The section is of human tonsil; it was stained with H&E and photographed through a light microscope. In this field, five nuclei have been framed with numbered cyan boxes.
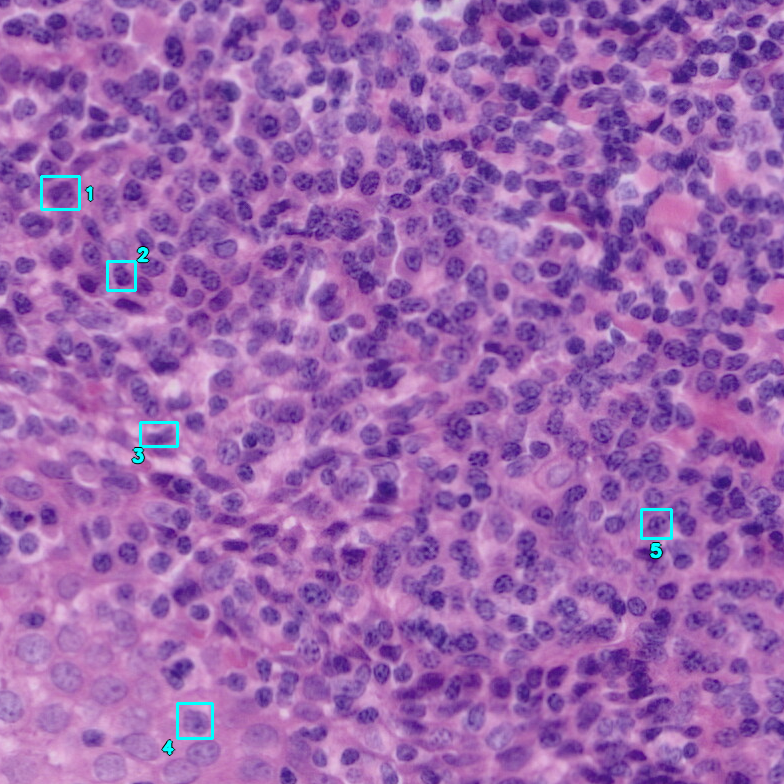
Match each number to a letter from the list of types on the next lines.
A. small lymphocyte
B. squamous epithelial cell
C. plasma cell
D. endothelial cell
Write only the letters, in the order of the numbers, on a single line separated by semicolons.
B; C; B; B; C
